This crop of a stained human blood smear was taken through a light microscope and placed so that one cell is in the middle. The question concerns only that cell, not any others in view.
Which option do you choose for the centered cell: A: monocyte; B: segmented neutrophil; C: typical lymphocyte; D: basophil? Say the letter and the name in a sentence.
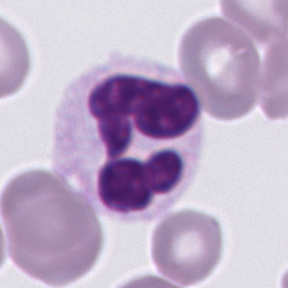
The middle of the crop holds a segmented neutrophil, which points to option B.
